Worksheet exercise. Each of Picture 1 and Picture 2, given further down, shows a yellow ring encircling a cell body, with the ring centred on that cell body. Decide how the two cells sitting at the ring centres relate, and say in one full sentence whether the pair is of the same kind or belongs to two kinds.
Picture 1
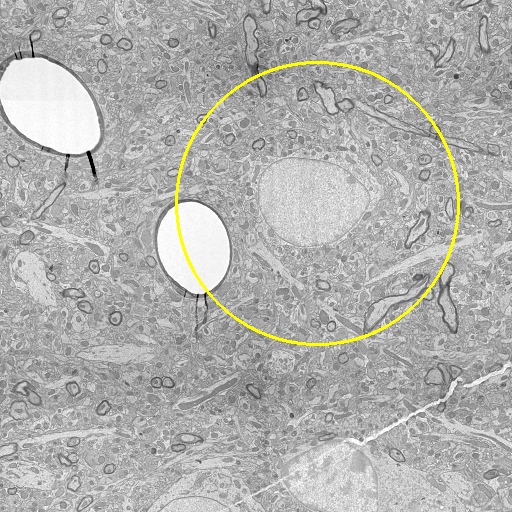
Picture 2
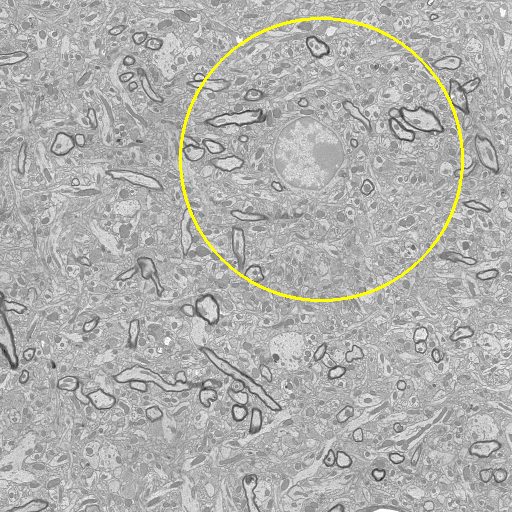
The cells at the ring centres in Picture 1 and Picture 2 belong to two kinds.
